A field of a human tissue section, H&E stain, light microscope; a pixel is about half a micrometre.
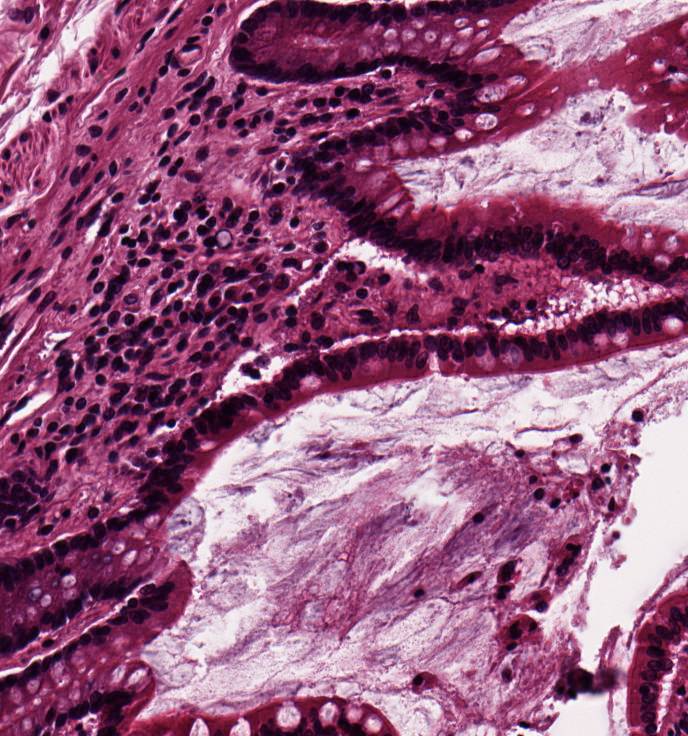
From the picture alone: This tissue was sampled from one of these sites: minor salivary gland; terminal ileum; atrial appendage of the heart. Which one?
terminal ileum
